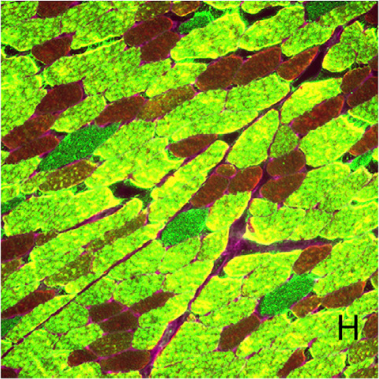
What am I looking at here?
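These are transversely cut muscle fibers, seen as large, closely packed polygonal profiles separated by thin septa. Most fibers are filled with a bright yellow-green colour, many others are a dark reddish brown, and a few are a solid, deeper green.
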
